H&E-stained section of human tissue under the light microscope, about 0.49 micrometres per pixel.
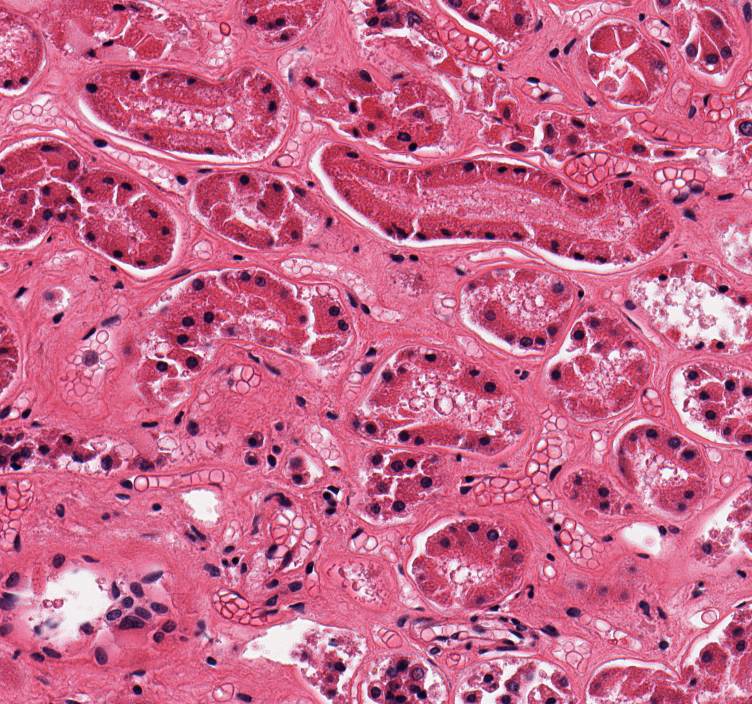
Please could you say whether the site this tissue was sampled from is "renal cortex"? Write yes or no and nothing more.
yes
